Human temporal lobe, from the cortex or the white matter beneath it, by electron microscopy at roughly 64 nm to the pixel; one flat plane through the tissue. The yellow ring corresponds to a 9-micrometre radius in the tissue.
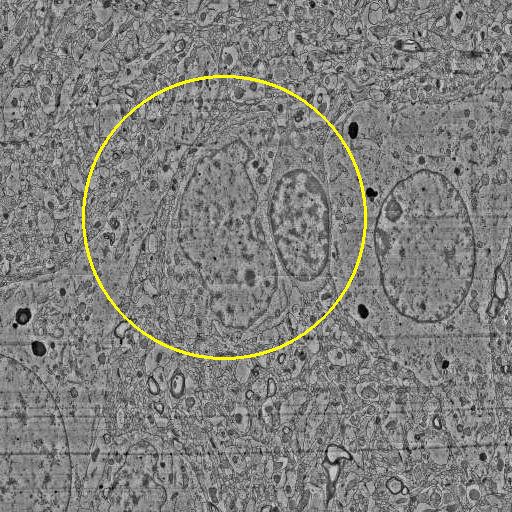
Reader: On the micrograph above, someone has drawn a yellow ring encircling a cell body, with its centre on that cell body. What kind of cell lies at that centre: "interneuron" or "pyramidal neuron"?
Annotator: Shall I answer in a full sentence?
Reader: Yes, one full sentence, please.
Here an interneuron sits at the centre of the yellow ring drawn on the micrograph.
